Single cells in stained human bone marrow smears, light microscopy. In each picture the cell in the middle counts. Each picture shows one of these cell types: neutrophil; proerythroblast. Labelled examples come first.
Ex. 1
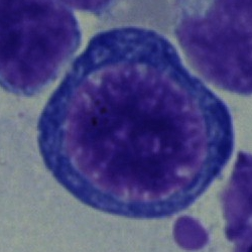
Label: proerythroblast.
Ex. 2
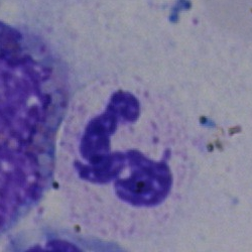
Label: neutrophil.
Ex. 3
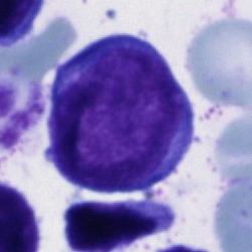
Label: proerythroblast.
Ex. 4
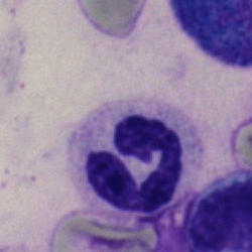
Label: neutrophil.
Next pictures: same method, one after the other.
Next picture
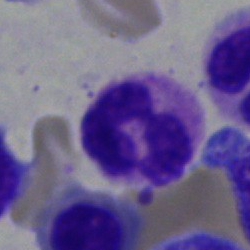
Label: neutrophil.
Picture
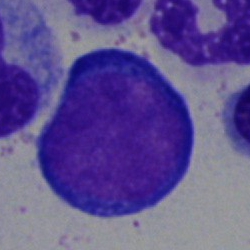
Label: proerythroblast.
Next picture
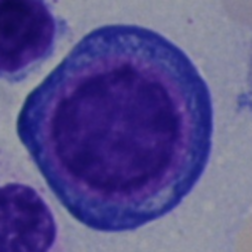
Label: proerythroblast.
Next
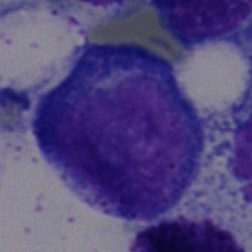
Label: proerythroblast.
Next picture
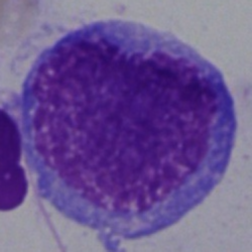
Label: proerythroblast.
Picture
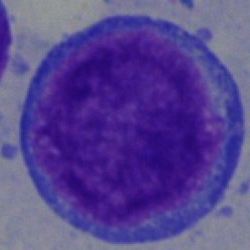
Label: proerythroblast.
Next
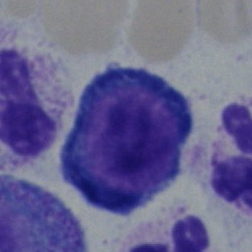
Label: proerythroblast.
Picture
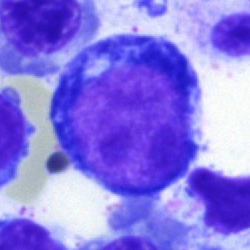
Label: proerythroblast.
